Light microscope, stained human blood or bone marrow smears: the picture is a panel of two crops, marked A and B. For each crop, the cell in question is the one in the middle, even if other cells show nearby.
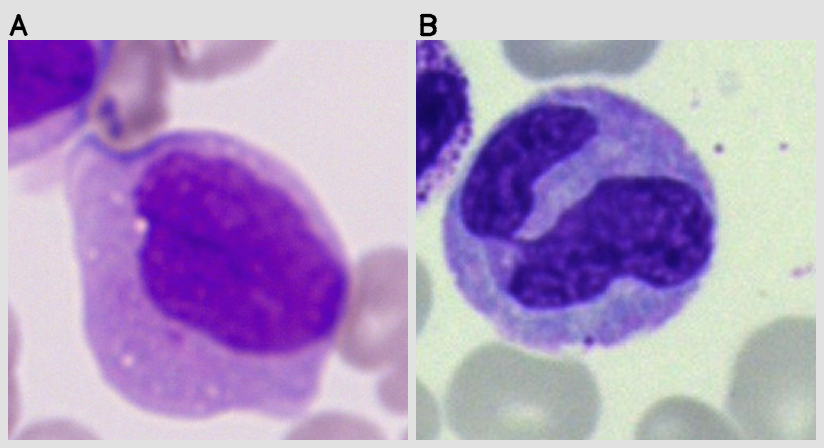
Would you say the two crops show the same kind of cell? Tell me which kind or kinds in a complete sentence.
No, crop A is home to a blast, and crop B to a monocyte.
